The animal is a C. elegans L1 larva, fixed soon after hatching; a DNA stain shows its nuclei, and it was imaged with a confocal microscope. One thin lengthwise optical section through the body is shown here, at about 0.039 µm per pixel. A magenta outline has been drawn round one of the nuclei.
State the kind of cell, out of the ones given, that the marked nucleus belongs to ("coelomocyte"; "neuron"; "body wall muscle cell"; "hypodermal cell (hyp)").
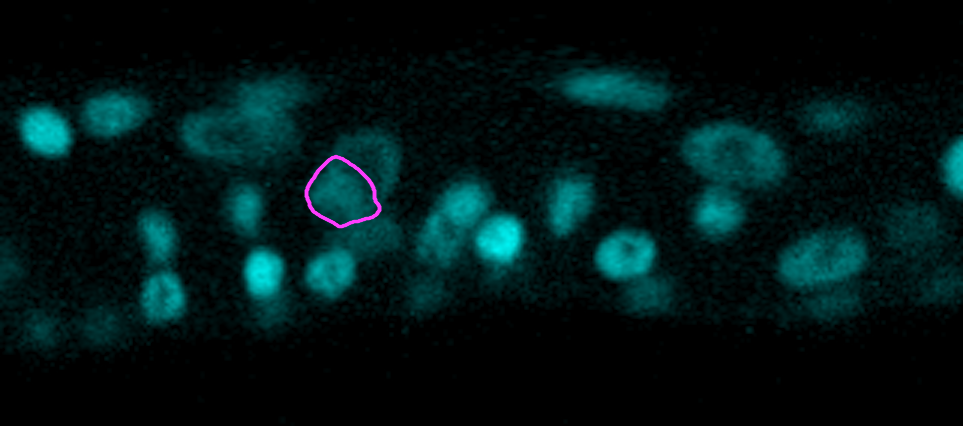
neuron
